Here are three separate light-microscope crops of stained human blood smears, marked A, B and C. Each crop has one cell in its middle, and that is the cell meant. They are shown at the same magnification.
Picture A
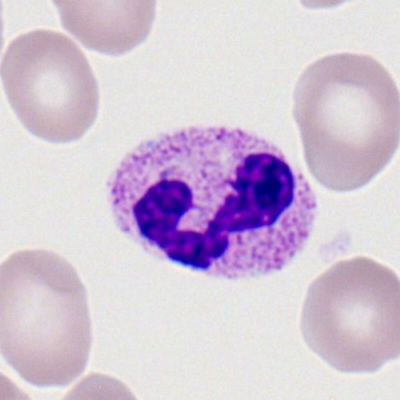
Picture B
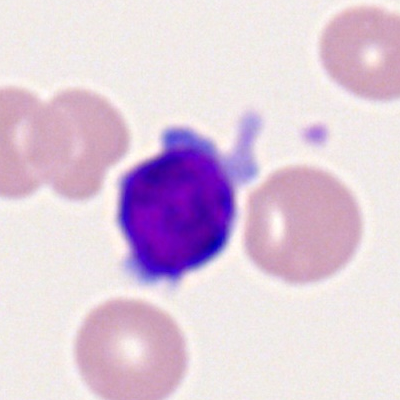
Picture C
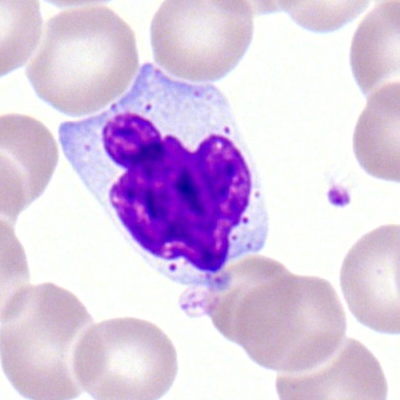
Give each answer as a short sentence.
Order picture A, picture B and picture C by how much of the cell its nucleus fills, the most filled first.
The most filled comes first: B, C, A.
